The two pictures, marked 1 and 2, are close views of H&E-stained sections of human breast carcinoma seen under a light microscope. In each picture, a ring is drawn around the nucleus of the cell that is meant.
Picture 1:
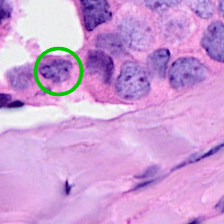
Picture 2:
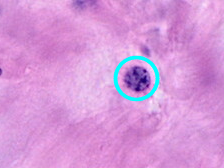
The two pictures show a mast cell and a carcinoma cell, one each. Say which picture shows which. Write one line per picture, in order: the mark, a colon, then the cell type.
1: carcinoma cell
2: mast cell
